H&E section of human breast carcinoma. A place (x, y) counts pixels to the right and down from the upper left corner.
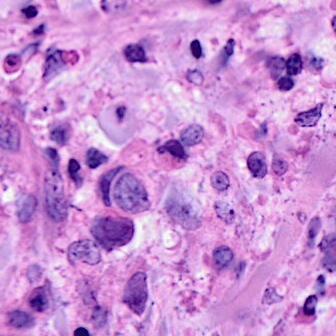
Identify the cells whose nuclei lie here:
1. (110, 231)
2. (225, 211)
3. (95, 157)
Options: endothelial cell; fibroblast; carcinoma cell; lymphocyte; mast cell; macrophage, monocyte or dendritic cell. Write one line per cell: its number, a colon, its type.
1: carcinoma cell
2: macrophage, monocyte or dendritic cell
3: lymphocyte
